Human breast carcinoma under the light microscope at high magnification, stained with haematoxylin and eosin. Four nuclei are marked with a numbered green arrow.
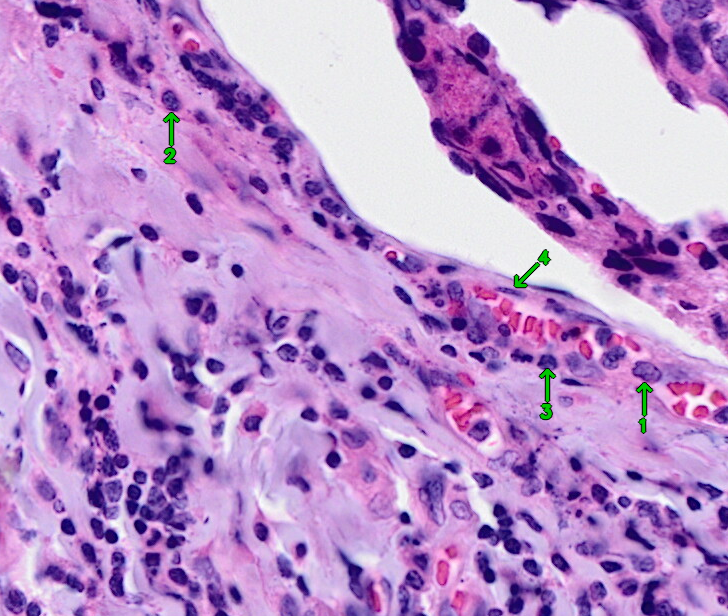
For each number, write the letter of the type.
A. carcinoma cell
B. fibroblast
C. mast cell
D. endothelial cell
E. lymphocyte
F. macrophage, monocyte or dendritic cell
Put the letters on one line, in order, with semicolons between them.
D; C; E; D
